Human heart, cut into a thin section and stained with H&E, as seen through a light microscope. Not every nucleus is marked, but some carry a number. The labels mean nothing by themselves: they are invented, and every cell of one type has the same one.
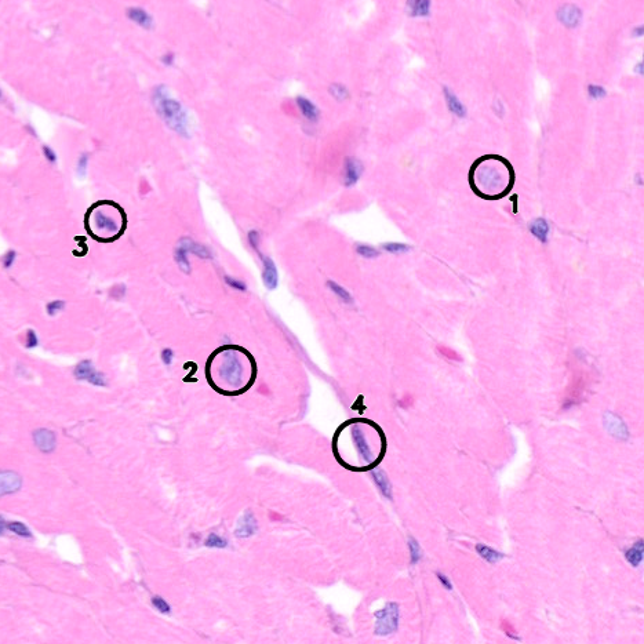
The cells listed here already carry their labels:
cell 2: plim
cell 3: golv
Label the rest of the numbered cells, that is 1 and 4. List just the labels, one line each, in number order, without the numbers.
plim
golv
